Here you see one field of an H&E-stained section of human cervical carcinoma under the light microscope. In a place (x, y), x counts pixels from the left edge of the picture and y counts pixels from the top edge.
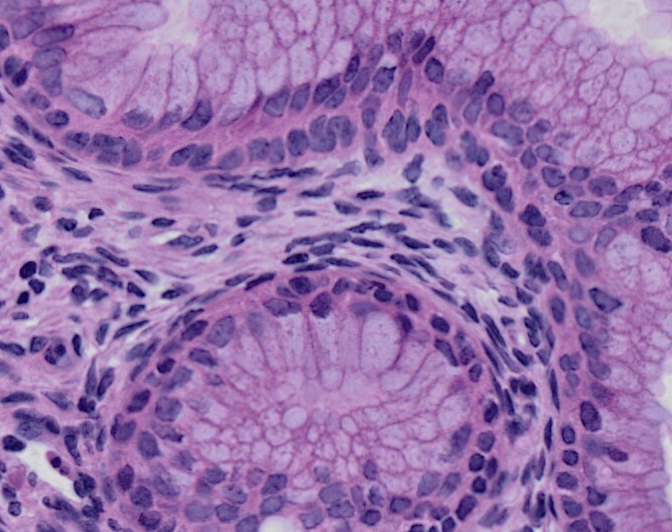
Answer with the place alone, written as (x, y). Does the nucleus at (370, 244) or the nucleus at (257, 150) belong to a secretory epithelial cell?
(257, 150)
